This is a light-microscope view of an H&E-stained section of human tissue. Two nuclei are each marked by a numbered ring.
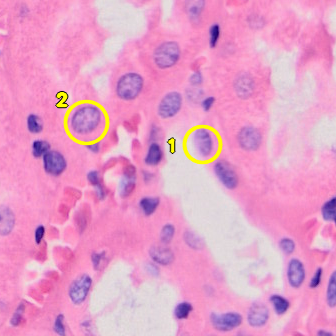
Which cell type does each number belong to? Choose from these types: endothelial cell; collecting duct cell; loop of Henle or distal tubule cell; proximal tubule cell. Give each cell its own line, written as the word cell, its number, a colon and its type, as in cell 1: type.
cell 1: collecting duct cell
cell 2: proximal tubule cell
